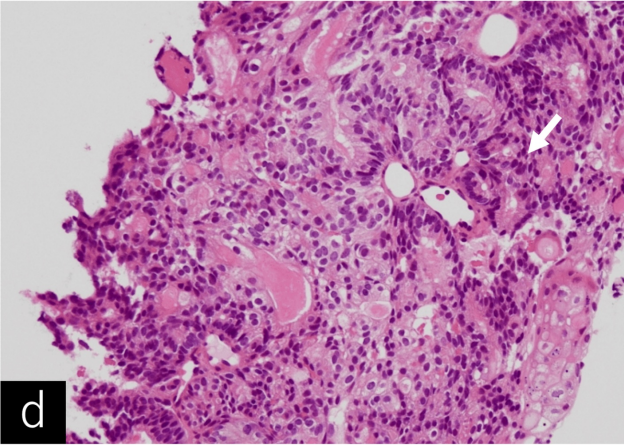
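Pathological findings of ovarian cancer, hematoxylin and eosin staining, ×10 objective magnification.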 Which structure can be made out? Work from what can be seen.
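Cells line small, irregularly shaped lumina. Gland-like spaces vary in size and outline. Glands are crowded together with little intervening stroma. So: irregular glandular structures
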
